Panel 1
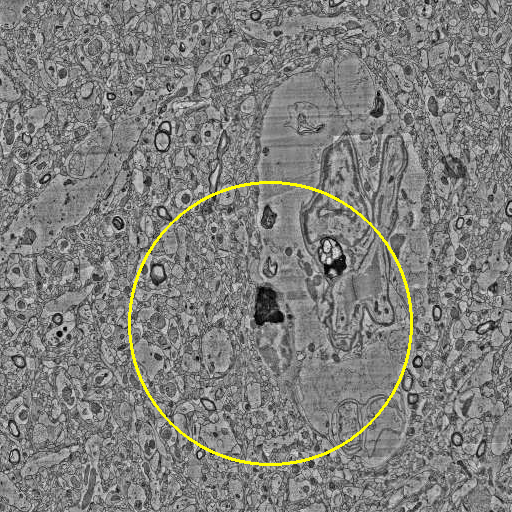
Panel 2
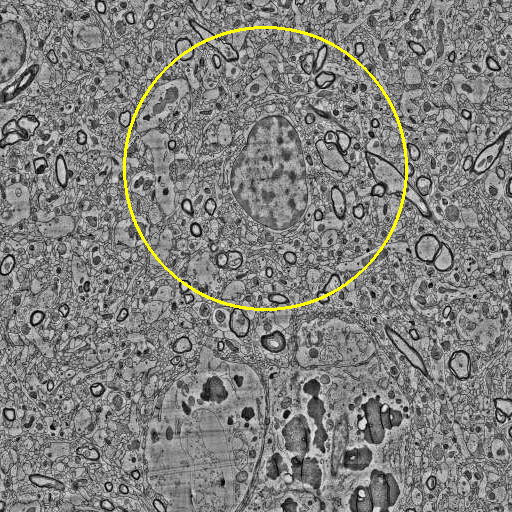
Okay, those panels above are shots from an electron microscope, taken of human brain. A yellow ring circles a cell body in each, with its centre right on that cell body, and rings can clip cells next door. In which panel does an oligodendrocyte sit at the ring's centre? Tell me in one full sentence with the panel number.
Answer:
The cell you asked for sits at the ring's centre in panel 1.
